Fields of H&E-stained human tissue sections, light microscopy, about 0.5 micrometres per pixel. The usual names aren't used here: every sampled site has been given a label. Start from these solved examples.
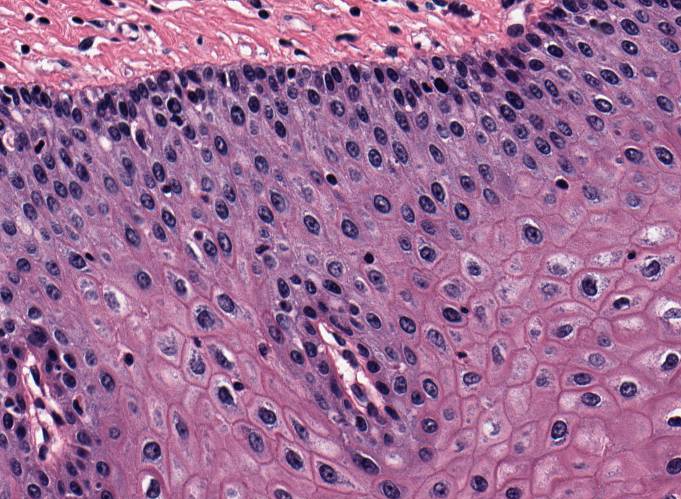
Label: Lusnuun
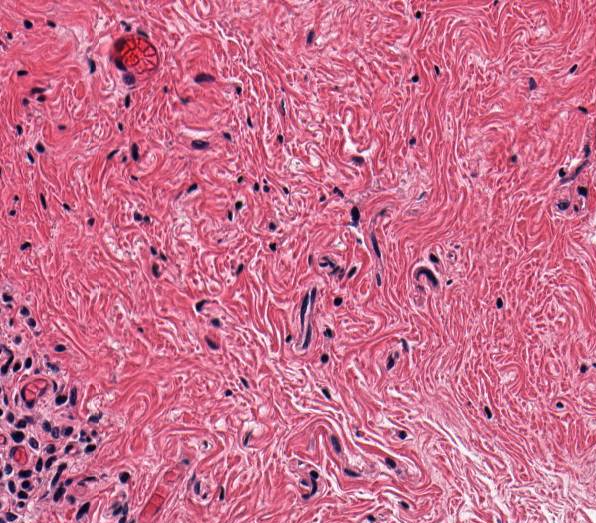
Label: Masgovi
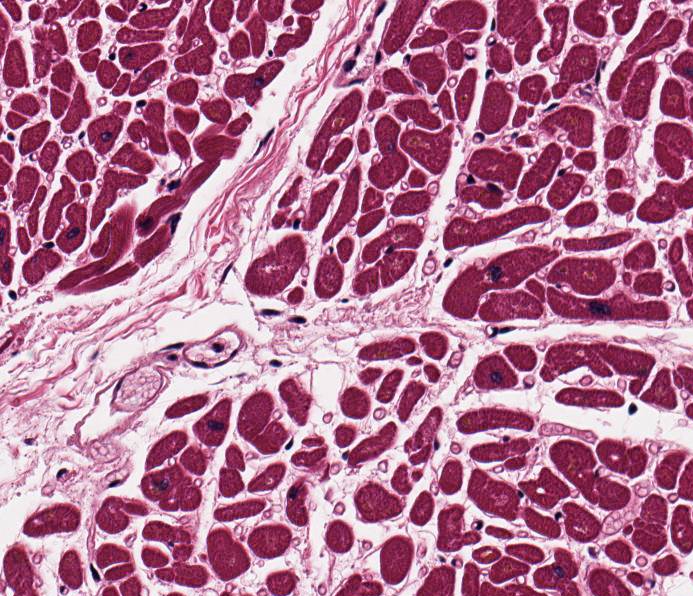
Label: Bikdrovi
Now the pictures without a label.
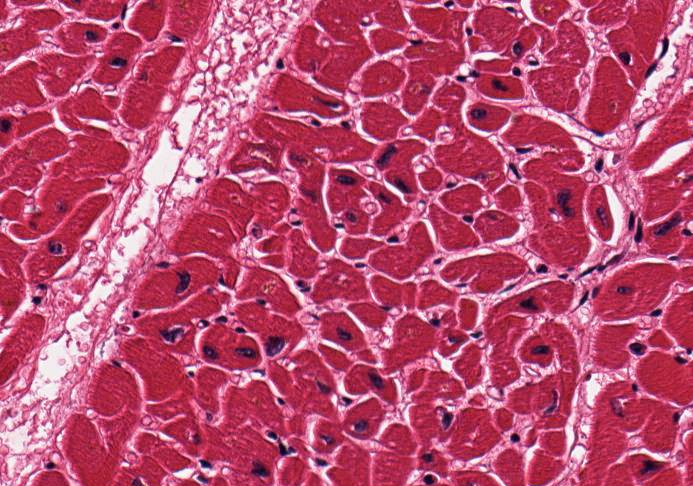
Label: Bikdrovi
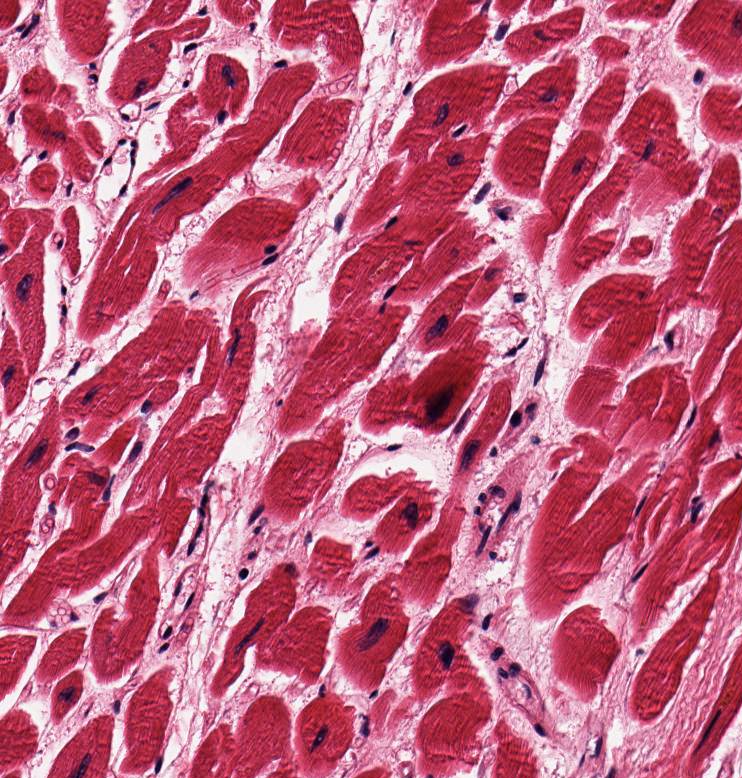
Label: Bikdrovi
